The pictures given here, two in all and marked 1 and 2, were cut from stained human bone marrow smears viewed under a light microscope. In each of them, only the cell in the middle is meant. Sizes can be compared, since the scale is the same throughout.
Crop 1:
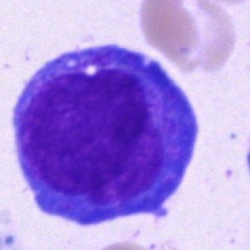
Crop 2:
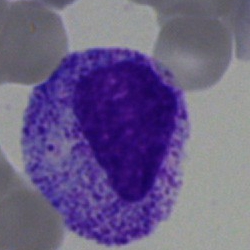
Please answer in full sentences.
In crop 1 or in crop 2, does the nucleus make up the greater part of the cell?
It is the cell in crop 1 that is filled more by its nucleus.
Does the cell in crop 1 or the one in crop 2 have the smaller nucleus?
Smaller is the nucleus in crop 2, and the other is about 1.5 times as large in area.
